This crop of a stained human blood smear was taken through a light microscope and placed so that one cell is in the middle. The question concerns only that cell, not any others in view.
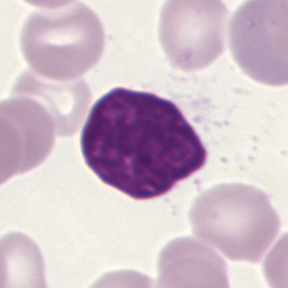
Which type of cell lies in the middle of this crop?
smudge cell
